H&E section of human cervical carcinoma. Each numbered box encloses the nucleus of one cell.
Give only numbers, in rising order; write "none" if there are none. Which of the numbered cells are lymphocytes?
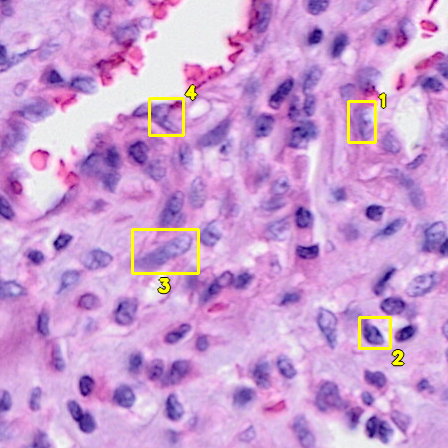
2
